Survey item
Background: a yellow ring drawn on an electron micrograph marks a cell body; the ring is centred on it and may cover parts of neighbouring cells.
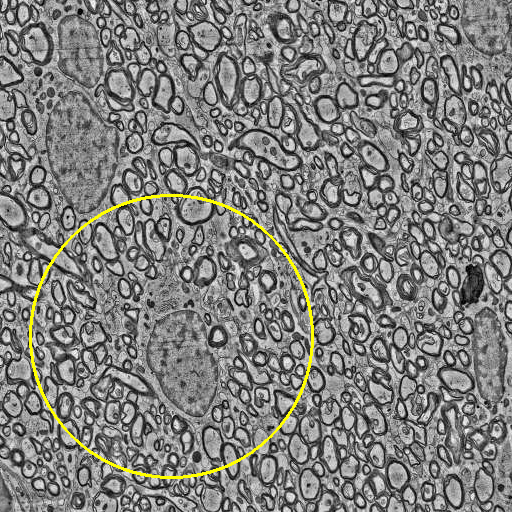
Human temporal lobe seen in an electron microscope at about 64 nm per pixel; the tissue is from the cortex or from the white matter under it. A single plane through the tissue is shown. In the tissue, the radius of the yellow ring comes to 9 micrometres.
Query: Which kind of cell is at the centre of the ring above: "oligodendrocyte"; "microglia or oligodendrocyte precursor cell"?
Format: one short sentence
The cell in the middle of the ring is an oligodendrocyte.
